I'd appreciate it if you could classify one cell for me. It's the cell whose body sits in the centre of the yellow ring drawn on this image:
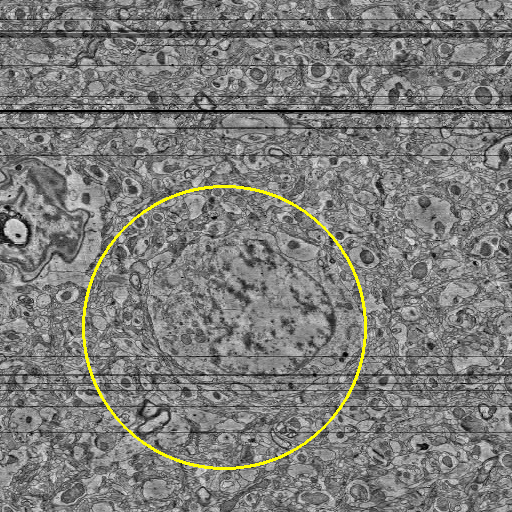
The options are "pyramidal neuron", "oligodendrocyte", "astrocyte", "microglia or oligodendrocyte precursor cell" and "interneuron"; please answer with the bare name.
interneuron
